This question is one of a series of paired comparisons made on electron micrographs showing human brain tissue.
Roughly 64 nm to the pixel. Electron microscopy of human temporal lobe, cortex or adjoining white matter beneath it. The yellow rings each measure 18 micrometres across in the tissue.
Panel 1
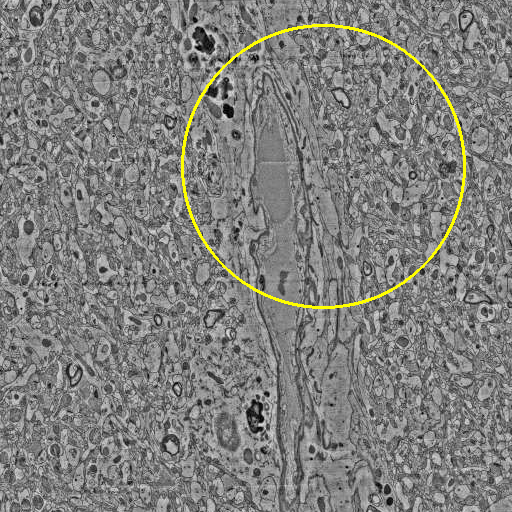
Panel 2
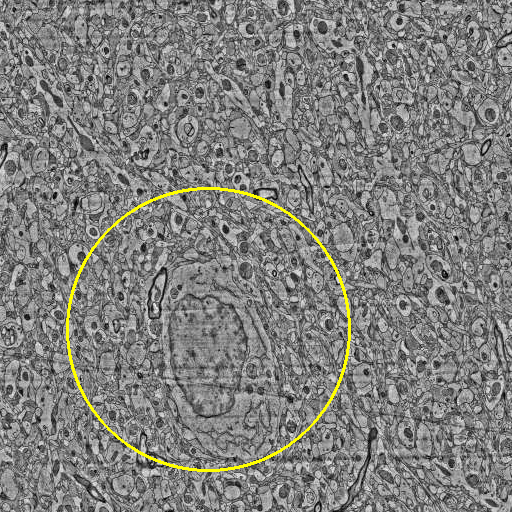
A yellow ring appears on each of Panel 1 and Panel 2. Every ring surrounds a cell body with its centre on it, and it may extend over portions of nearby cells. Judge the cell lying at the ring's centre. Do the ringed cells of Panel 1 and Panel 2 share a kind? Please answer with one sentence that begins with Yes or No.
No, the ring-centre cell in Panel 1 and the one in Panel 2 are of two kinds.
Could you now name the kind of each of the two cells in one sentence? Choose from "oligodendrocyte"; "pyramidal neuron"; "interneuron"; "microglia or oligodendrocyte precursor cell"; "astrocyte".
The first ring encloses a microglial cell or oligodendrocyte precursor cell; the second ring encloses an interneuron.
